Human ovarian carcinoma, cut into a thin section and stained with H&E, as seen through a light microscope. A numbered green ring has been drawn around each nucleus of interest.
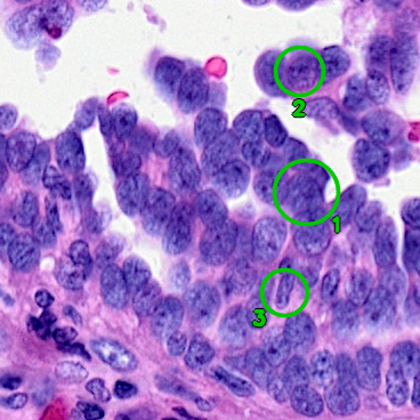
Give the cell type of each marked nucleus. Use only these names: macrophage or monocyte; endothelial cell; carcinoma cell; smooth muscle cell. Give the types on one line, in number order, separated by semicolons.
carcinoma cell; carcinoma cell; macrophage or monocyte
